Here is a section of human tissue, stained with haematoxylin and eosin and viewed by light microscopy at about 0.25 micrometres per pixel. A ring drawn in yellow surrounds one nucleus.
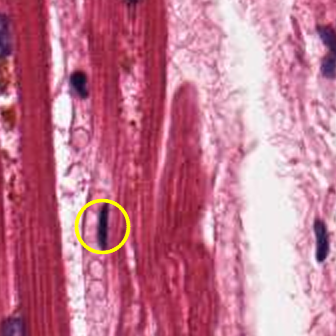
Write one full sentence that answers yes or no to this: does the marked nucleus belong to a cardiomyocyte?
No, it is to a supporting cell that the marked nucleus belongs, not to a cardiomyocyte.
